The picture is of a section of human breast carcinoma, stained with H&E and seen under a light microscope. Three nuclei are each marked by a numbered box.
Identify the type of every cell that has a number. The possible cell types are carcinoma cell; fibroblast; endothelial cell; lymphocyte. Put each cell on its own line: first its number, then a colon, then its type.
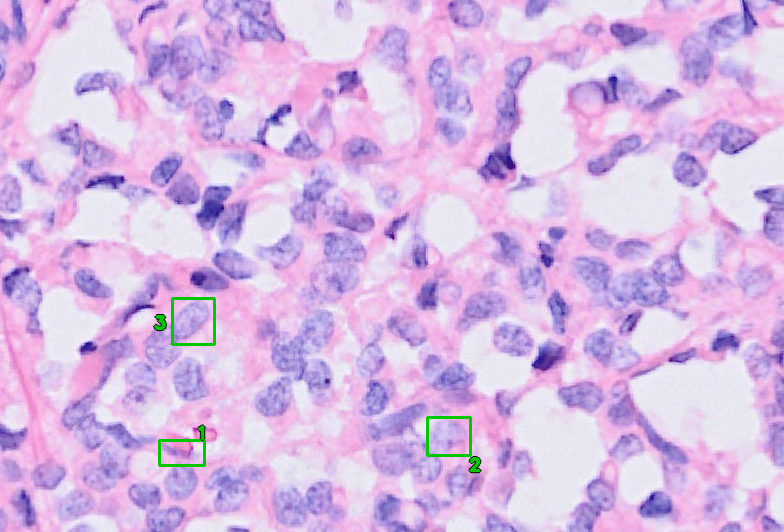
1: endothelial cell
2: carcinoma cell
3: carcinoma cell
